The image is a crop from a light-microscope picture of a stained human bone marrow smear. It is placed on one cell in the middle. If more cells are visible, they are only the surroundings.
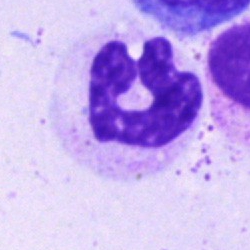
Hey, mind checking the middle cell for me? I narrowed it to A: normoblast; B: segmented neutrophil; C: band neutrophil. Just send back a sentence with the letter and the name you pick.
Option B, which names the central cell as a segmented neutrophil, is correct.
